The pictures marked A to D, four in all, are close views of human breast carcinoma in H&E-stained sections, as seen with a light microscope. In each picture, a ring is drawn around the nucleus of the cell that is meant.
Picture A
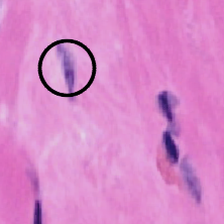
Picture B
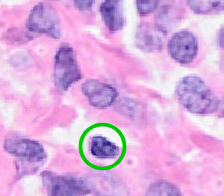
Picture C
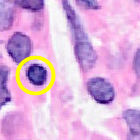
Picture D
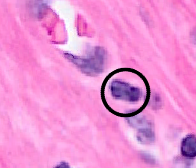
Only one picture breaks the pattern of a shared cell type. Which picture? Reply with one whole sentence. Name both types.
Unlike the rest, which show lymphocytes, picture A shows a fibroblast.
